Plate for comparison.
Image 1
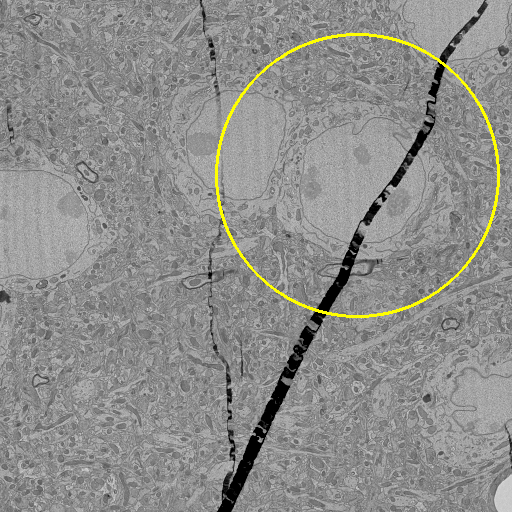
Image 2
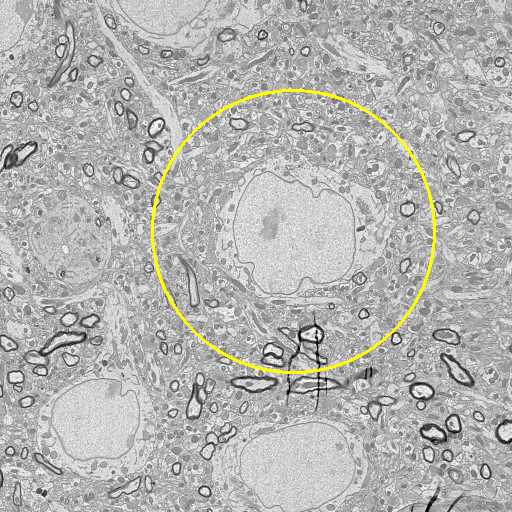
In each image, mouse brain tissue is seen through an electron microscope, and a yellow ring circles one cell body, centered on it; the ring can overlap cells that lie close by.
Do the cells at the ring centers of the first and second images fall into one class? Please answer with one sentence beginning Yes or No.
Yes, the first and second images show a single class of cell at the ring centers.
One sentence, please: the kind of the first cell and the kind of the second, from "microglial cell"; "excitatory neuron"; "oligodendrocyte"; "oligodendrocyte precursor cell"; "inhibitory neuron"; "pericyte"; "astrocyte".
Each of the ringed cells, first and second, is an excitatory neuron.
